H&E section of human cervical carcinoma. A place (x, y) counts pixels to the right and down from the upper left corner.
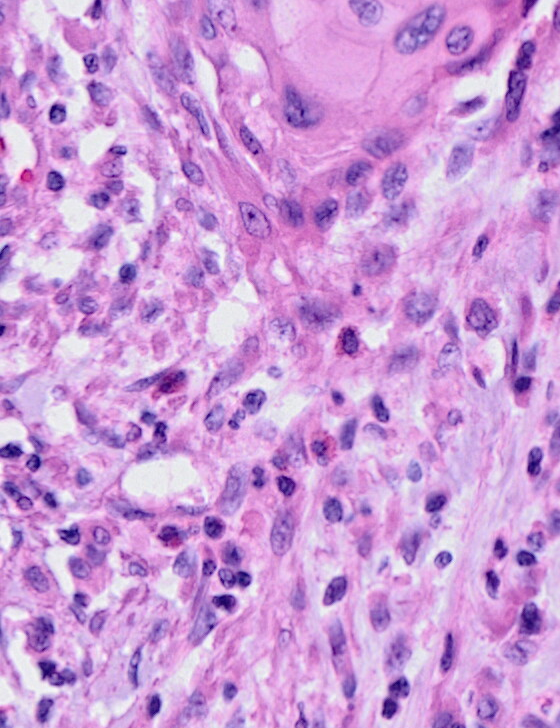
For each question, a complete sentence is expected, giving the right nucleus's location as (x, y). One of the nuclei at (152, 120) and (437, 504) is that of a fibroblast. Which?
The nucleus at (152, 120) belongs to a fibroblast, which distinguishes it from the other nucleus.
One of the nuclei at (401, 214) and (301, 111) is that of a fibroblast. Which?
Of these two nuclei, it is the one at (401, 214) that belongs to a fibroblast.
